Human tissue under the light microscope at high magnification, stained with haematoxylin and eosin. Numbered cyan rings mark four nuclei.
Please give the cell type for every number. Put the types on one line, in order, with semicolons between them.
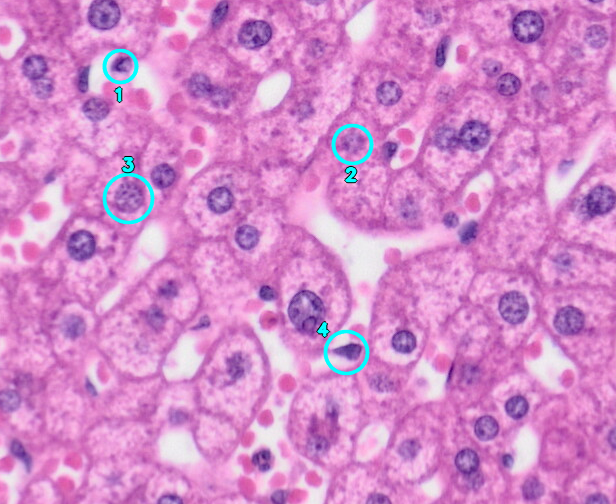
Kupffer cell; hepatocyte; hepatocyte; Kupffer cell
